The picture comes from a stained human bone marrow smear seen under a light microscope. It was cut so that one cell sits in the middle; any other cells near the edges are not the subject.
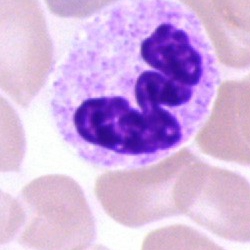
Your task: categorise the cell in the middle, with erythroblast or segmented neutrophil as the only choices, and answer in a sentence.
Standing at the centre of this crop is a segmented neutrophil.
